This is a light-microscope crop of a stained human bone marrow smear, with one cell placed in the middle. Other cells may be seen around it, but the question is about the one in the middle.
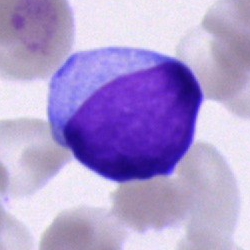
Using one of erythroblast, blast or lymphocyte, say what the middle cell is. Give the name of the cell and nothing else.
blast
